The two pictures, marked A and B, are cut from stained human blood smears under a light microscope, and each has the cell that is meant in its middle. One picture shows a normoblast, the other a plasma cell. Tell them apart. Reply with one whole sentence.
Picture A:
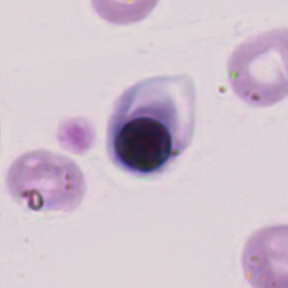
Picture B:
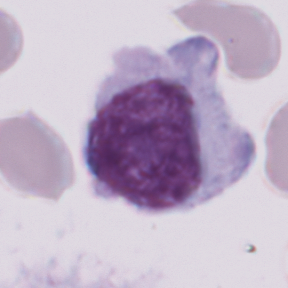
Picture A is of a normoblast, and picture B is of a plasma cell.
